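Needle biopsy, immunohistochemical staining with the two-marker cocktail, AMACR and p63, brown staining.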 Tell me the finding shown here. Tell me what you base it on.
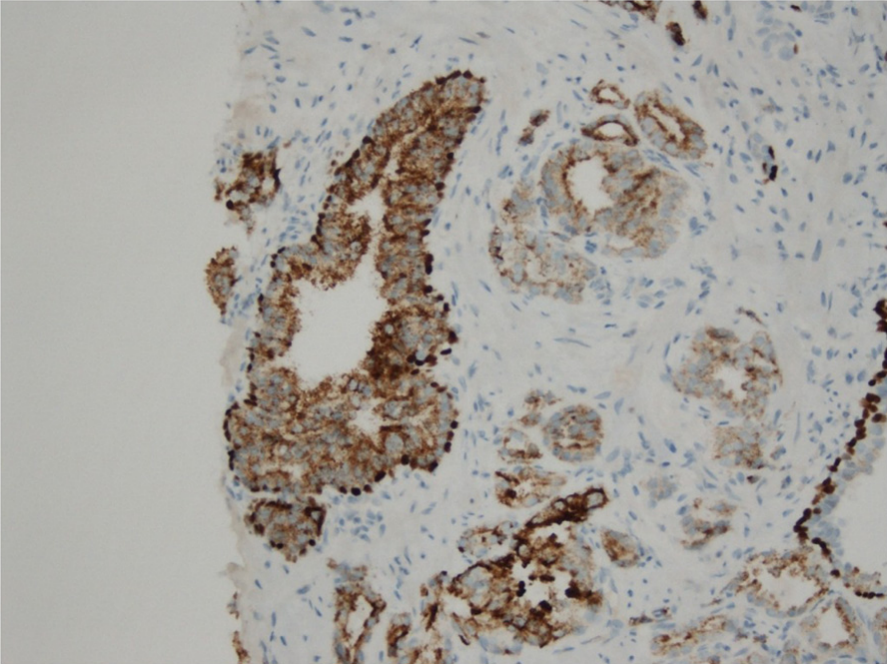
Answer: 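Glands are lined by crowded, several-layered epithelium with granular brown cytoplasm.
Conclusion: prostatic intra-epithelial neoplasia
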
